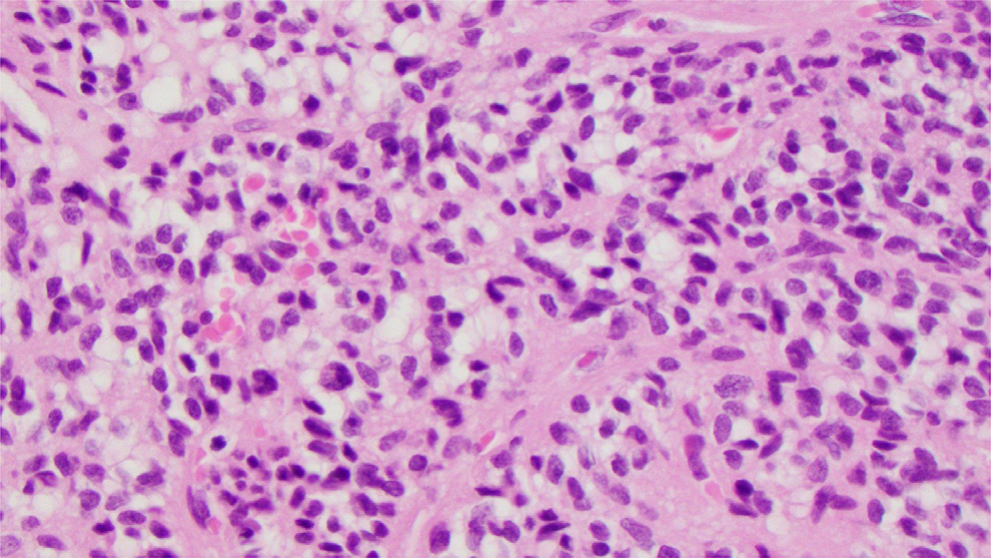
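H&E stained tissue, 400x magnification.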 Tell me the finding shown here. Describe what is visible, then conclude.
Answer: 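Many nuclei are elongated and tapered. Other nuclei are oval. Cells are densely packed in sheets and vague bundles.
Answer: spindled to ovoid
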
